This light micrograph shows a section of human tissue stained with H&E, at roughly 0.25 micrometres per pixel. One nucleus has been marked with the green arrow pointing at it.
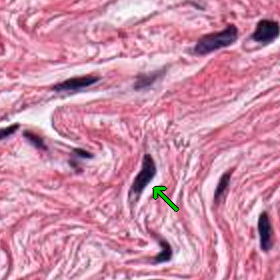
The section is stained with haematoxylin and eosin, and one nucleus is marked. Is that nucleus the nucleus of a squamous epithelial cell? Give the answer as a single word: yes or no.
no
